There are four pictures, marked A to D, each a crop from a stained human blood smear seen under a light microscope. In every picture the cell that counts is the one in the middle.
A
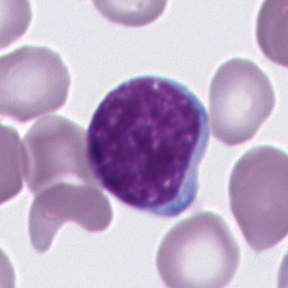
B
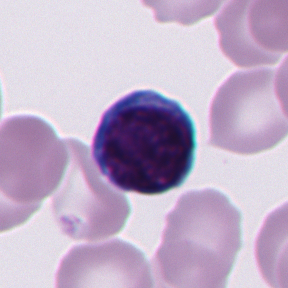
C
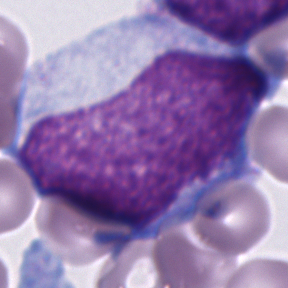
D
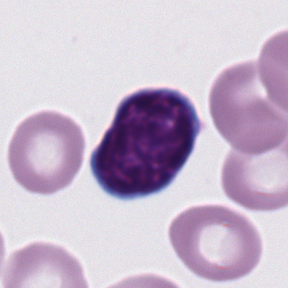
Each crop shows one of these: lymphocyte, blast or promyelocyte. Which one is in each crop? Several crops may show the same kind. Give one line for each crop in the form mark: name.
A: lymphocyte
B: lymphocyte
C: promyelocyte
D: lymphocyte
